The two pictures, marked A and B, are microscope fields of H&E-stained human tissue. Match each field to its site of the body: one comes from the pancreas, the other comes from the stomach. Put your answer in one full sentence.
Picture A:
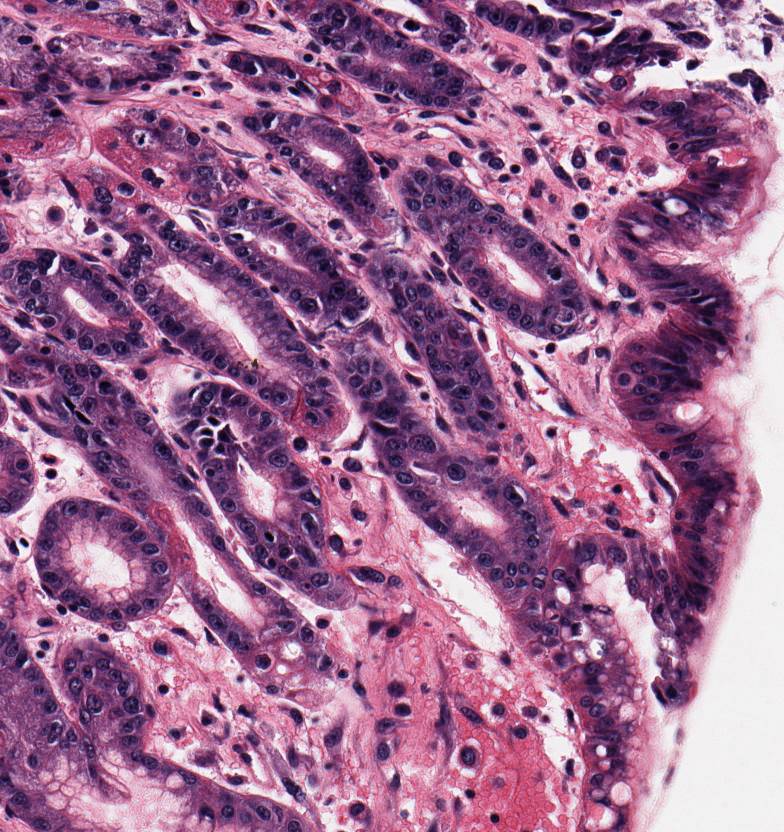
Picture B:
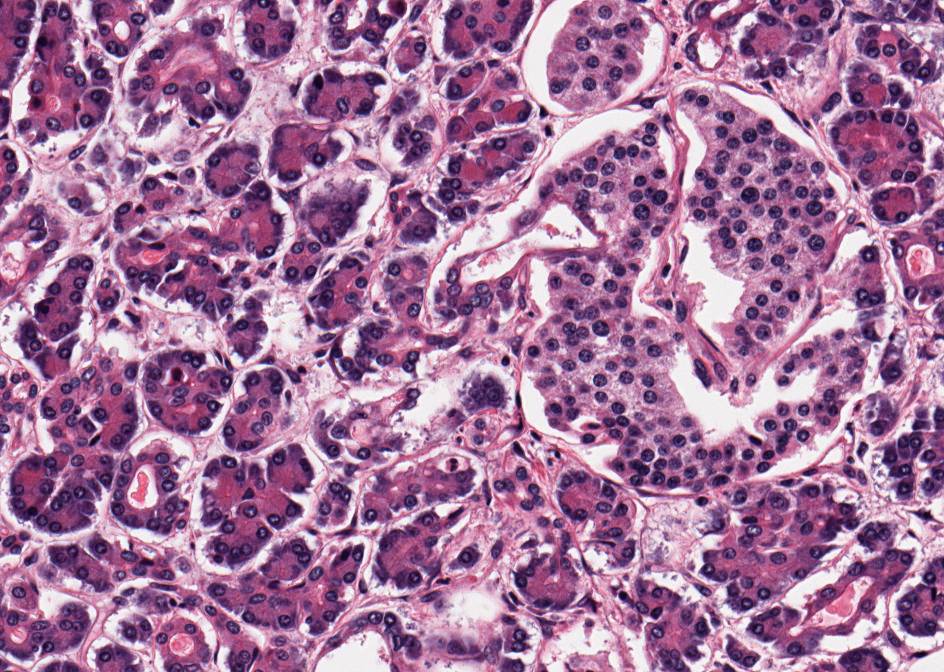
Picture B comes from the pancreas, while picture A comes from the stomach.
